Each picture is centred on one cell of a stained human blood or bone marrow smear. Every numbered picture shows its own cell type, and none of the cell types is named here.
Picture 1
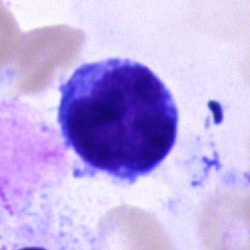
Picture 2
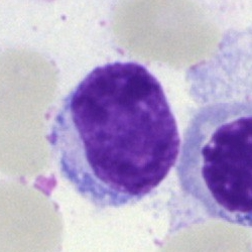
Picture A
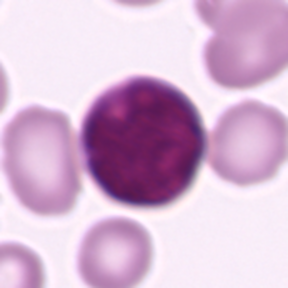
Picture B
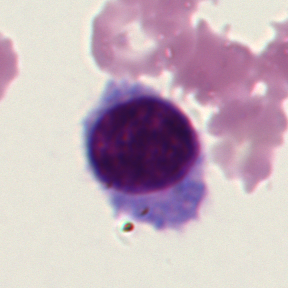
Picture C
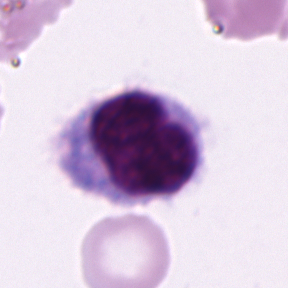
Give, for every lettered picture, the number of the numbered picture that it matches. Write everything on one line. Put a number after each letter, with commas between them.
A 1, B 2, C 2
